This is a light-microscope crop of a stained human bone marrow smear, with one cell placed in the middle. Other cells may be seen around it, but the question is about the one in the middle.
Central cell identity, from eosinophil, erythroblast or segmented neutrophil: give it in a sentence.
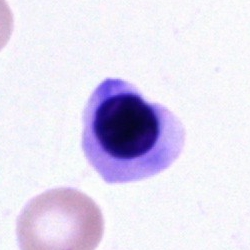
The cell centred in this crop is categorized as an erythroblast.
